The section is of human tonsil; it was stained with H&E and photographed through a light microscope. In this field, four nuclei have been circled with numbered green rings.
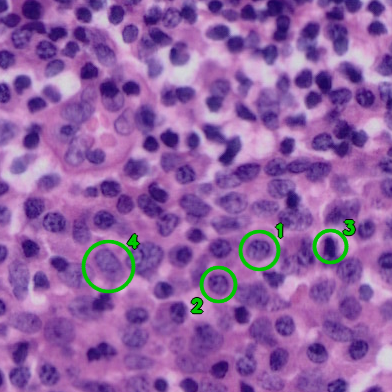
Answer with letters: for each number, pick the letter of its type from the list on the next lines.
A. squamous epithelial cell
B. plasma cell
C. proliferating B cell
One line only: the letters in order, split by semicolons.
B; B; B; A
